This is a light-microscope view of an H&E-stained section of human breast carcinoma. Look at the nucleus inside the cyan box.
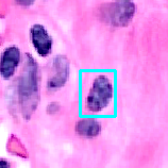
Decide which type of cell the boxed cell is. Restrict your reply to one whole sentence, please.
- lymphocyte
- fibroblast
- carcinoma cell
As classified here, the boxed cell is a lymphocyte.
